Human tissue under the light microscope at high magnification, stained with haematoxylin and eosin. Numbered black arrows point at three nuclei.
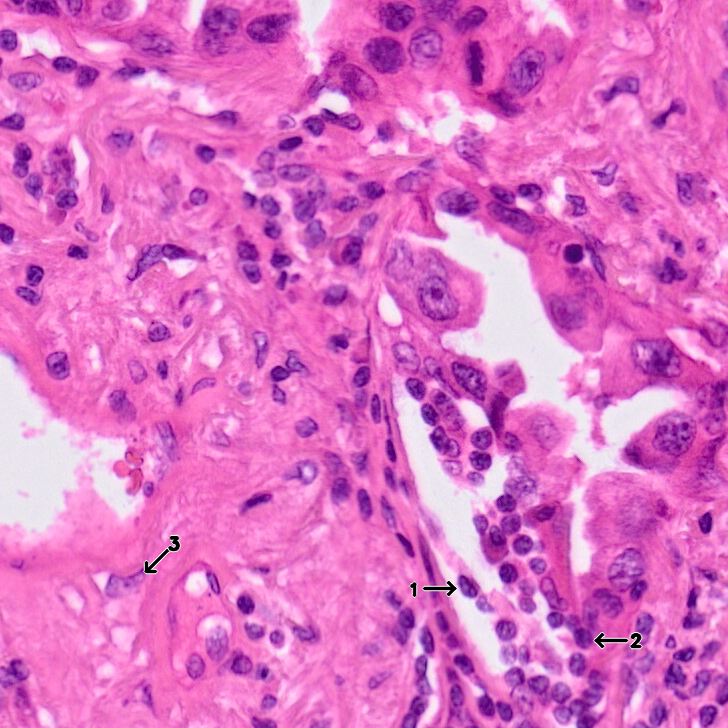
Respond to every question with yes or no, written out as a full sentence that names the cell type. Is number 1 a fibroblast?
No, the one with number 1 is a lymphocyte, not a fibroblast.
